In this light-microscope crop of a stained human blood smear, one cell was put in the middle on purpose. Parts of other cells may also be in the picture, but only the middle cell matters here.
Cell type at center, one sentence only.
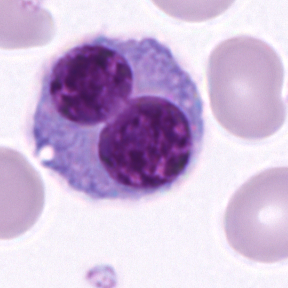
Here the cell in the middle is a plasma cell.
